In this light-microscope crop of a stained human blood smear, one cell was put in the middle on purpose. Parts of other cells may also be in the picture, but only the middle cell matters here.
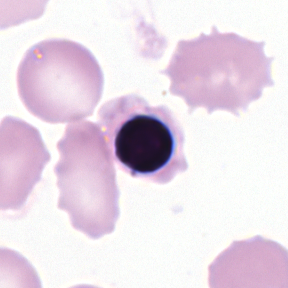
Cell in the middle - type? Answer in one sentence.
The centered cell in this crop is a normoblast.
